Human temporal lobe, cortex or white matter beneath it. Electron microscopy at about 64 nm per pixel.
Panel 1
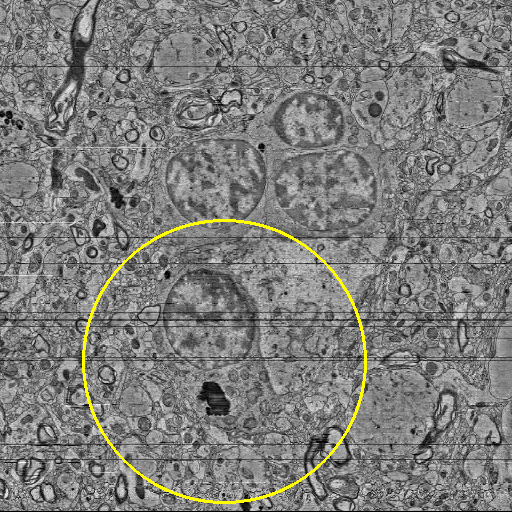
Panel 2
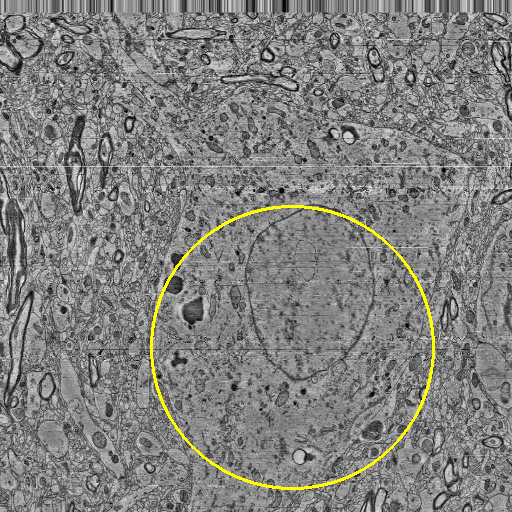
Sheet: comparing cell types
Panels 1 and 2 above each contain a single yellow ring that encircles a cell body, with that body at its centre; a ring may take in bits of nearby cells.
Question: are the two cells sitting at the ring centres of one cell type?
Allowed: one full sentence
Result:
No, the ring-centre cells in Panel 1 and Panel 2 are of two types.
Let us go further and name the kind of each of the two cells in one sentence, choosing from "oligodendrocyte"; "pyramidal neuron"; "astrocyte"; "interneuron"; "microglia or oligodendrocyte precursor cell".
The ring of the first picture is on an oligodendrocyte, the ring of the second on a pyramidal neuron.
